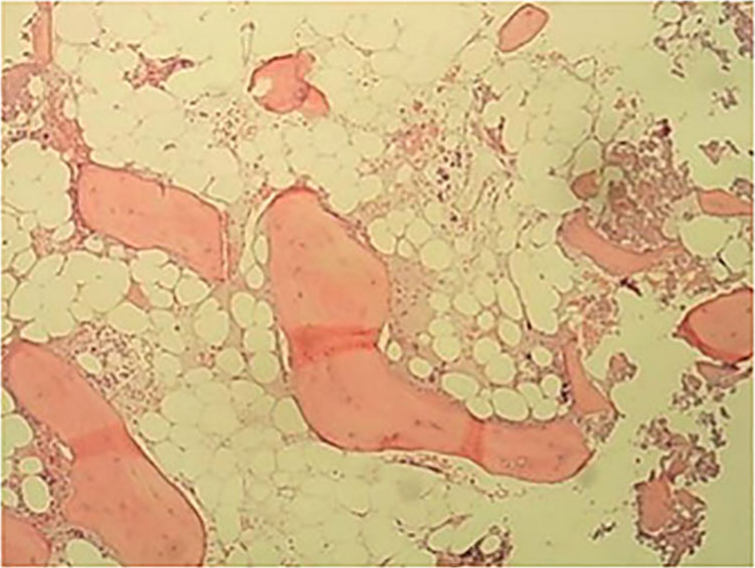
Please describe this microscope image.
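Bone marrow at low magnification, with broad pink bony trabeculae separating marrow spaces. The marrow spaces are taken up mostly by large, empty, rounded fat vacuoles, with only small scattered patches of cells and red blood cells among them, so the marrow is sparse in cells.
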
